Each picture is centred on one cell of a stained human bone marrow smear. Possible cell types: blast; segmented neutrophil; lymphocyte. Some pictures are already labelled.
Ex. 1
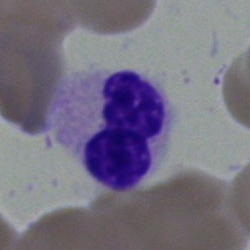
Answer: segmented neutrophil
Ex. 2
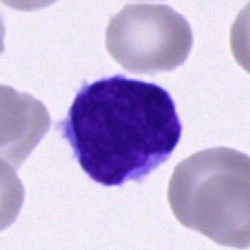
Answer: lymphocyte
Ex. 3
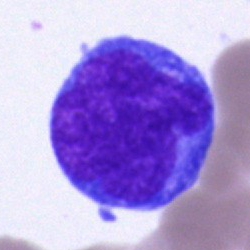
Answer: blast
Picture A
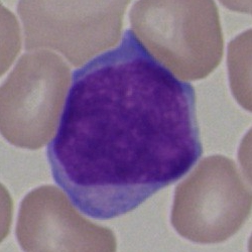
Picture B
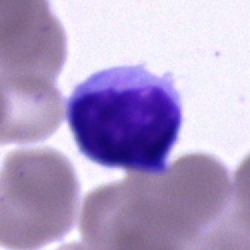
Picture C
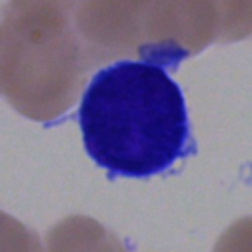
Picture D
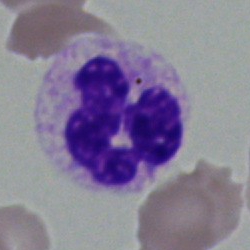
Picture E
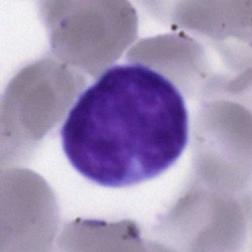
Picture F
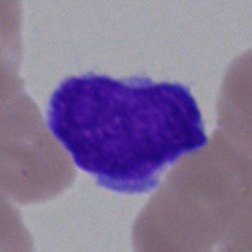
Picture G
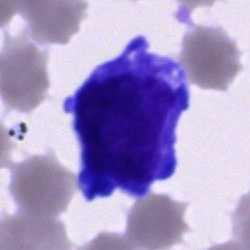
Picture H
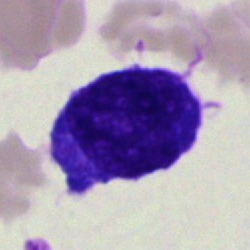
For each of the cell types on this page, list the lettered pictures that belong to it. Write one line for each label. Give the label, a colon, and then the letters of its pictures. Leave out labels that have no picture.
blast: A, C, F, G, H
segmented neutrophil: D
lymphocyte: B, E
